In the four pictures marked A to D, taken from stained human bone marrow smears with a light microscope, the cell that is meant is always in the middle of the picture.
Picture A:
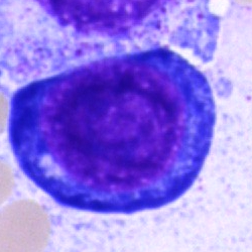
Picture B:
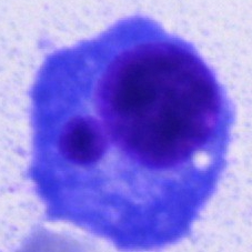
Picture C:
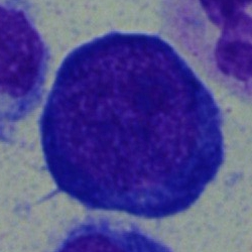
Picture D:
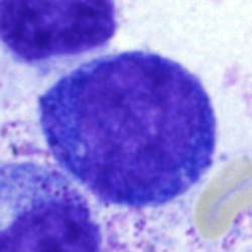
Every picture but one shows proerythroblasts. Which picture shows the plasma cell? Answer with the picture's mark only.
B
